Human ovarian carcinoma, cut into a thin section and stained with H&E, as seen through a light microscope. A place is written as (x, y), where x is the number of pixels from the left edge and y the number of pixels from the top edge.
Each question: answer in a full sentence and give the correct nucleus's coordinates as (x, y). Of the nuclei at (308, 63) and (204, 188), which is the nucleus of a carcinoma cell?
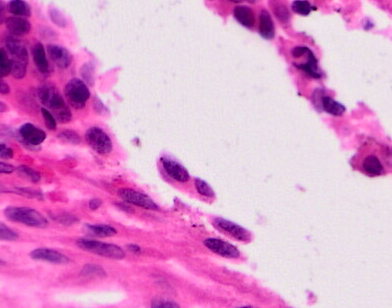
The nucleus that belongs to a carcinoma cell is located at (204, 188).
